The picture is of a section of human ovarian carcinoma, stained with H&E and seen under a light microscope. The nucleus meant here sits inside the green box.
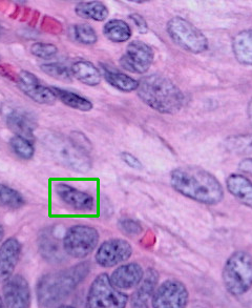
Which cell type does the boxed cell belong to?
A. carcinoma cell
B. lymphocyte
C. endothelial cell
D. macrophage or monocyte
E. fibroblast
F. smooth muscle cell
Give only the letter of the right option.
D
